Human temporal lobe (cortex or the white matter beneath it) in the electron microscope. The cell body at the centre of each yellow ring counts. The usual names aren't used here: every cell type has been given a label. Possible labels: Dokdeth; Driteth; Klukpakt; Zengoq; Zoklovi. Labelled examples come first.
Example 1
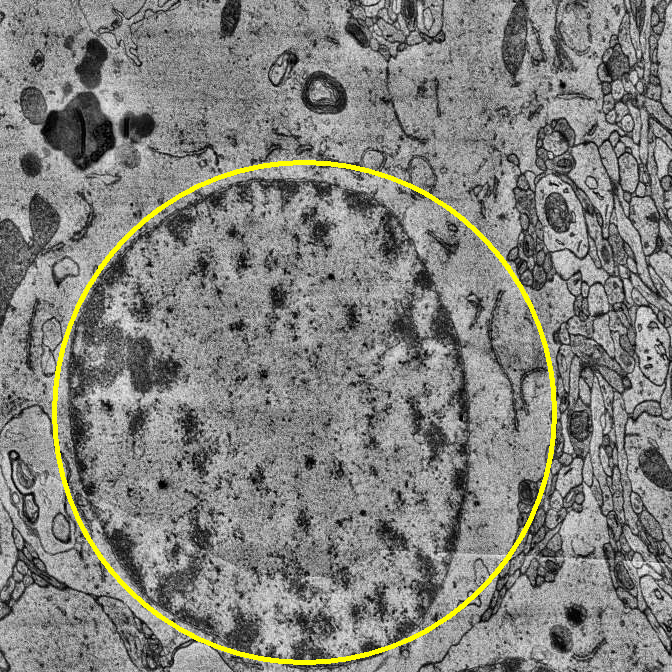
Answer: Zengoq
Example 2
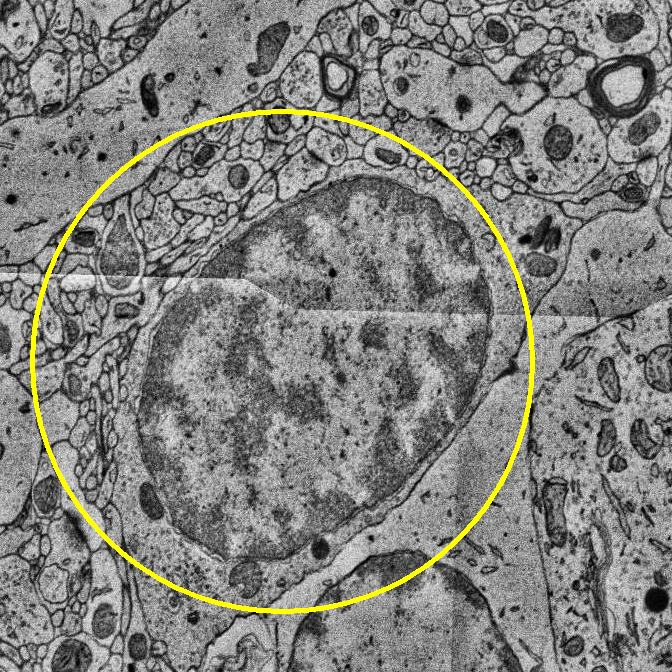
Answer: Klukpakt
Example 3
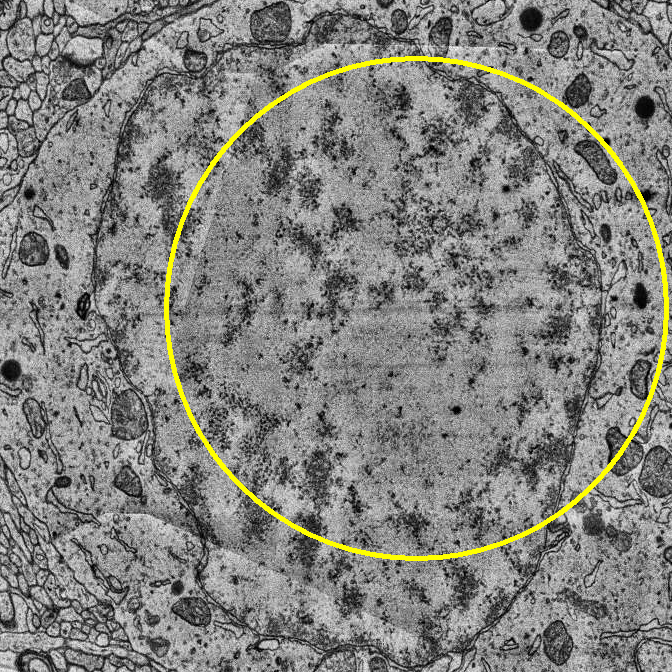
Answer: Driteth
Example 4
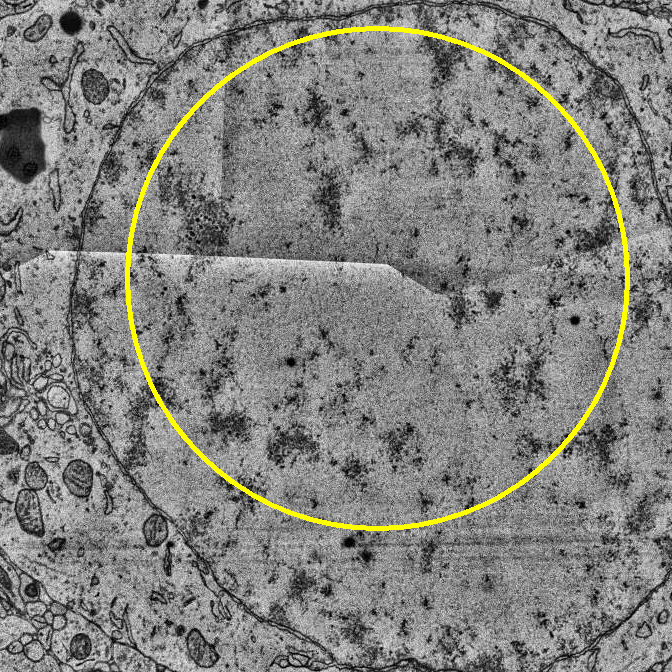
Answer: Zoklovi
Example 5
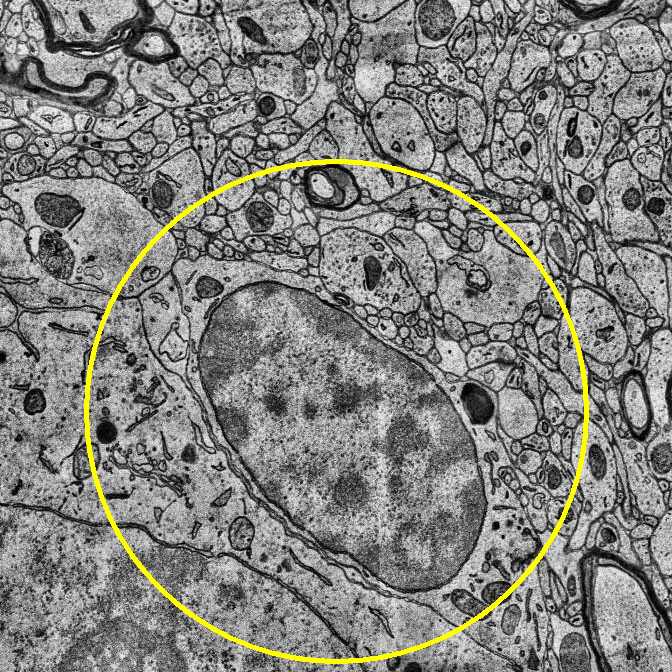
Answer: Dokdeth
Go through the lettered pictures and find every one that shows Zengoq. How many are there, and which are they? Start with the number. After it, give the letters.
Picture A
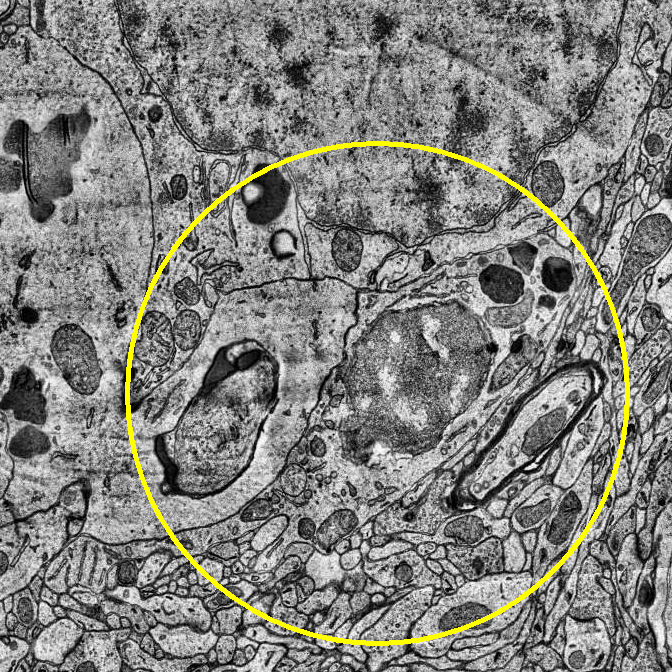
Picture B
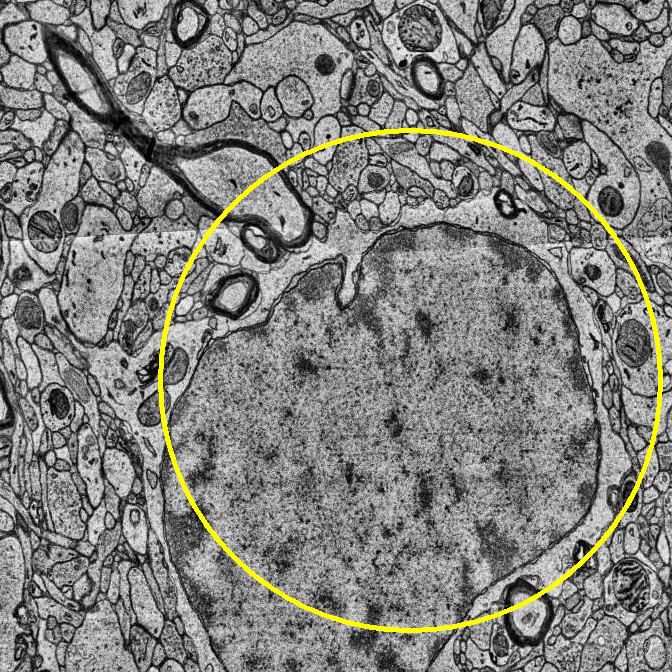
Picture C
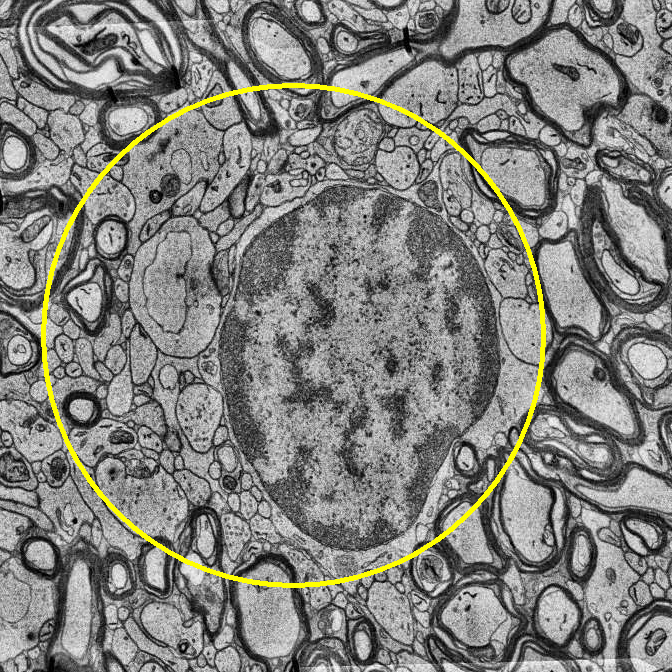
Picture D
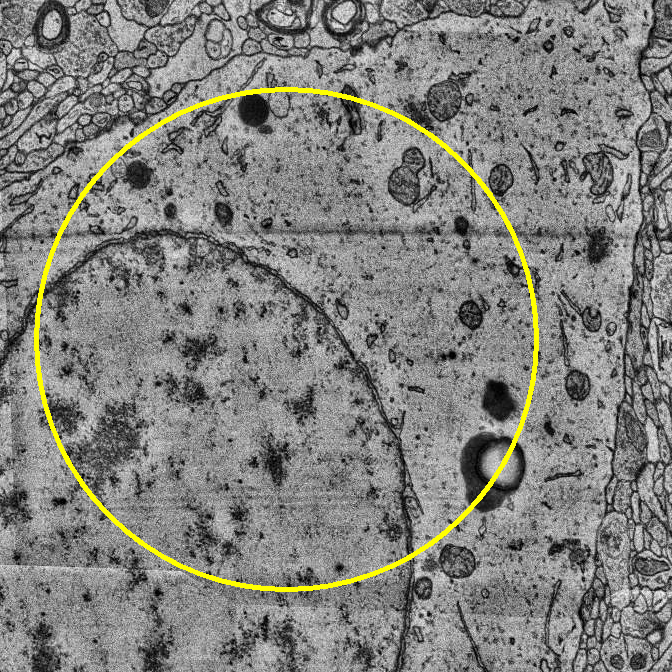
0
